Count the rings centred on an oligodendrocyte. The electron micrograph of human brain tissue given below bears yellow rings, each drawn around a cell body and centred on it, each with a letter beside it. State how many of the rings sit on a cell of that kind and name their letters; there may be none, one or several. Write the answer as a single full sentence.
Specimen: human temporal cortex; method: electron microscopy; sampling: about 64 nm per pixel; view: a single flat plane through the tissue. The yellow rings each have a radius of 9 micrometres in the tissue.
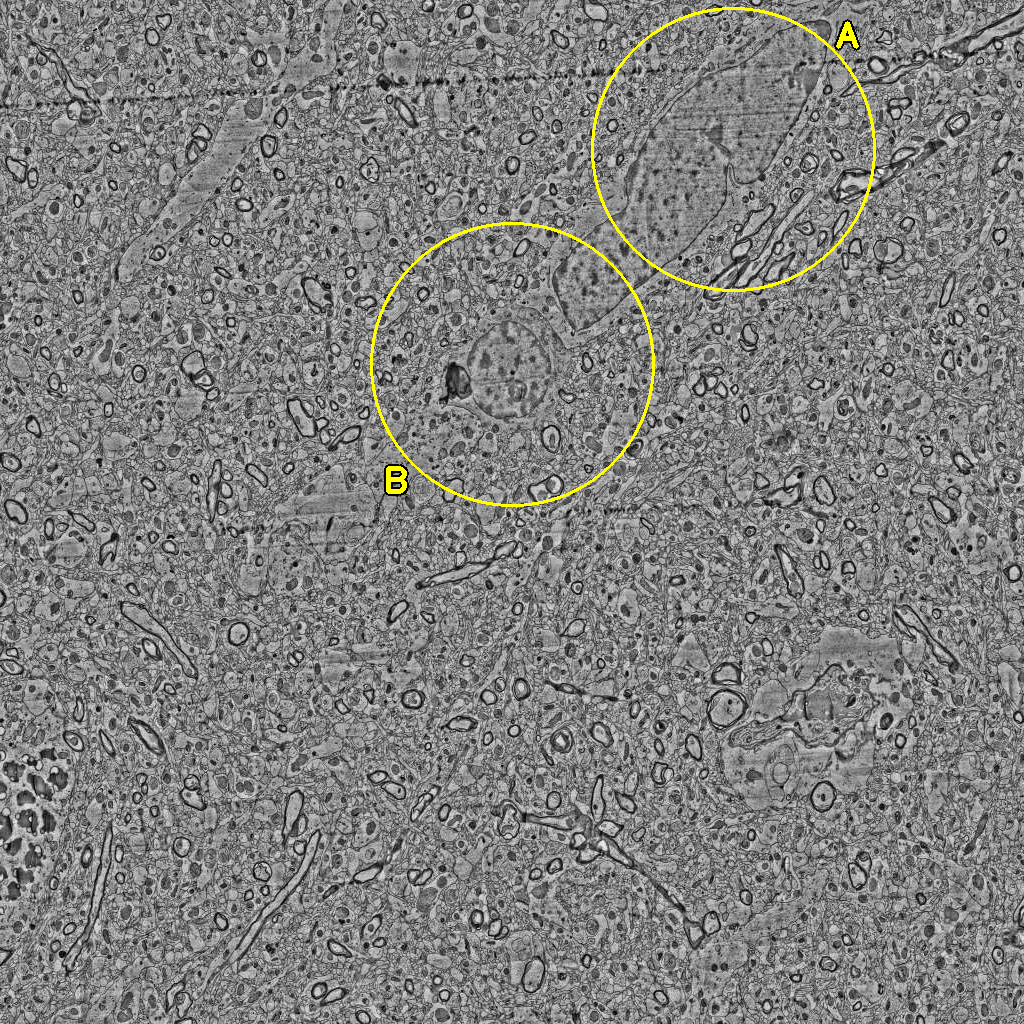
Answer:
A single ring, lettered B, is centred on an oligodendrocyte in this micrograph.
